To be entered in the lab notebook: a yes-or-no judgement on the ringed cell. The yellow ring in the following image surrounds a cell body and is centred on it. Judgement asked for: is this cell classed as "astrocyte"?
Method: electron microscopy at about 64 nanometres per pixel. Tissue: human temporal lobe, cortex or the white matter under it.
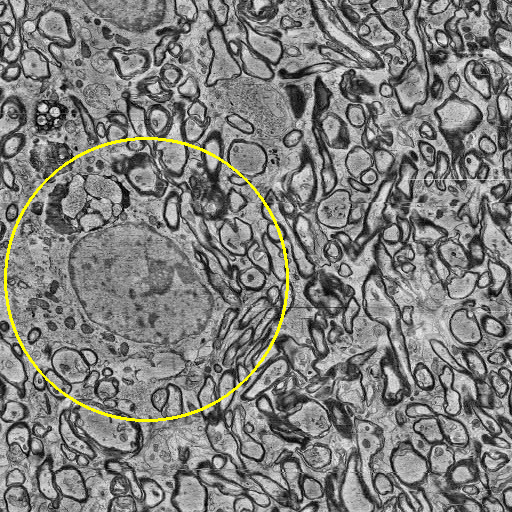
Yes, it is classed that way.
